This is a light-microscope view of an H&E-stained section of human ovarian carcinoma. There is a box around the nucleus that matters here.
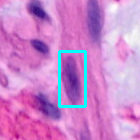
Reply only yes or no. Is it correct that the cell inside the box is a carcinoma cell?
no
